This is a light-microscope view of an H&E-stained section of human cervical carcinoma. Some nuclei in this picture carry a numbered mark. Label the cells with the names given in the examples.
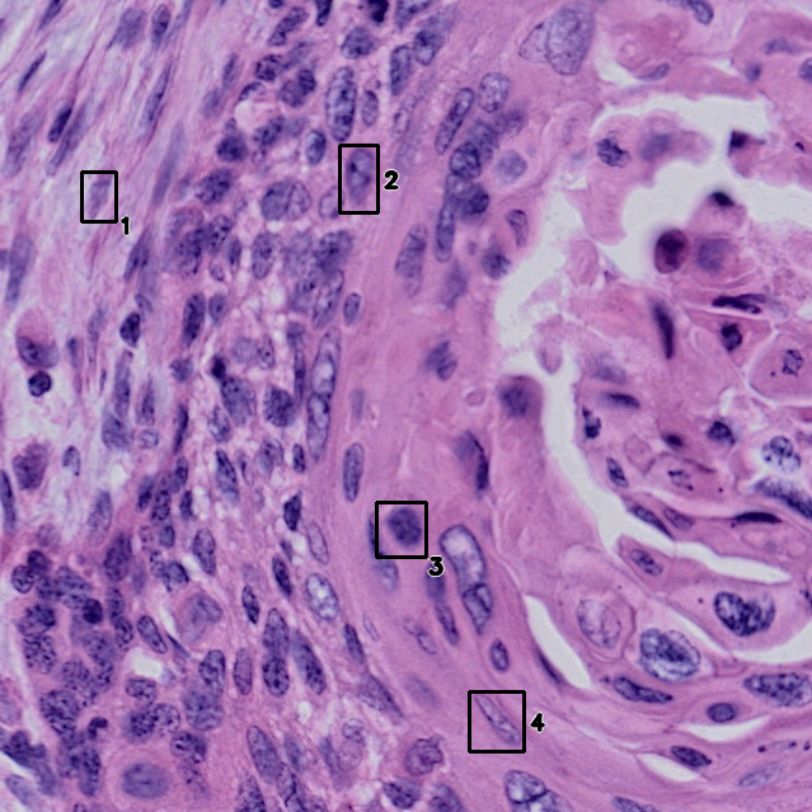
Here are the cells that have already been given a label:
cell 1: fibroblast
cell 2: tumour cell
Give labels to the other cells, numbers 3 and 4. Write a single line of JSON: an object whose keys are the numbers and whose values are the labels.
{"3": "tumour cell", "4": "tumour cell"}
